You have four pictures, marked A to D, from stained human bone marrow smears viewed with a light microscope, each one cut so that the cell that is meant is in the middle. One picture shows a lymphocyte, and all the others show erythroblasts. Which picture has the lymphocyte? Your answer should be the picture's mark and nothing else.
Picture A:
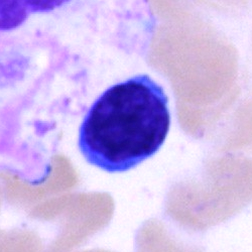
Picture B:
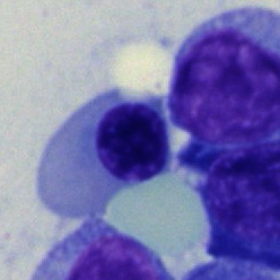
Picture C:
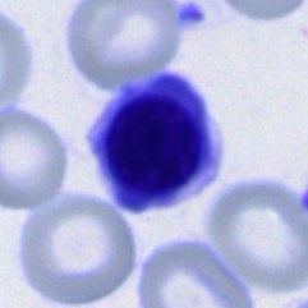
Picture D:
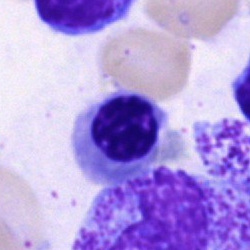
A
